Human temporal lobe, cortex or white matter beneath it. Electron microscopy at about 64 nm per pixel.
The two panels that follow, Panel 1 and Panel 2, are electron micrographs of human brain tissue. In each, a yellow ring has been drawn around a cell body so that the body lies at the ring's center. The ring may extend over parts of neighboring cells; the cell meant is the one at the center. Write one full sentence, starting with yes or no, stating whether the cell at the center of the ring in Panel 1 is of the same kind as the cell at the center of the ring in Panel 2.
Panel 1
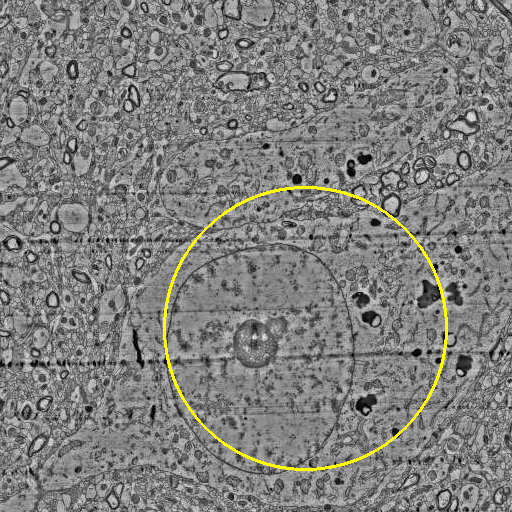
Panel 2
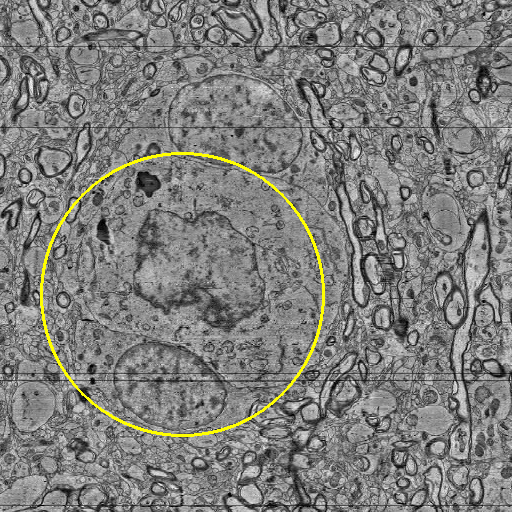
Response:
Yes, the cells in both panels are of the same kind.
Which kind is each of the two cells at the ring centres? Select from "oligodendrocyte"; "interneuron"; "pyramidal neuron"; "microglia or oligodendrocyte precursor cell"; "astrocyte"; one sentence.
Both rings mark a pyramidal neuron, one in each picture.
